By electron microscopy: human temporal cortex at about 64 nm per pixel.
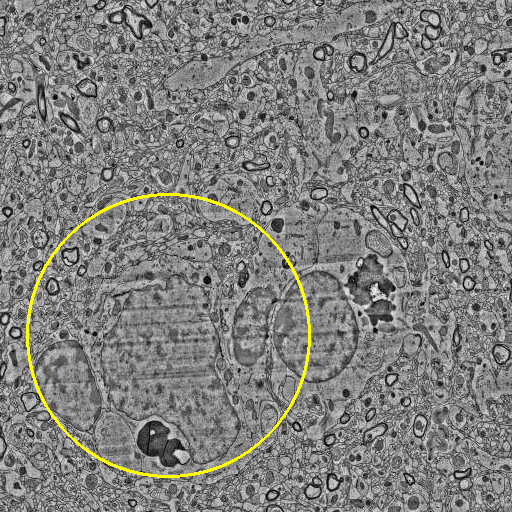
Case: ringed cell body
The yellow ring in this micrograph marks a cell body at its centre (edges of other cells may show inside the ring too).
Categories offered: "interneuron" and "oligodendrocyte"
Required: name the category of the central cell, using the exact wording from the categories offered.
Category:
interneuron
